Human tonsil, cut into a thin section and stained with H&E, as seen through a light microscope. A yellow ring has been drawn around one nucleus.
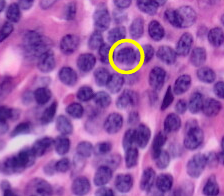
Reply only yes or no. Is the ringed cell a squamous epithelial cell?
no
